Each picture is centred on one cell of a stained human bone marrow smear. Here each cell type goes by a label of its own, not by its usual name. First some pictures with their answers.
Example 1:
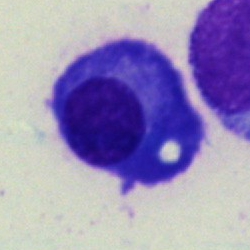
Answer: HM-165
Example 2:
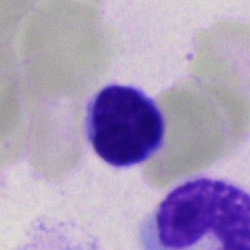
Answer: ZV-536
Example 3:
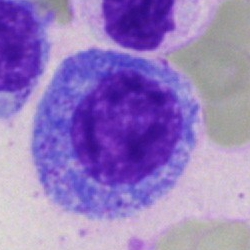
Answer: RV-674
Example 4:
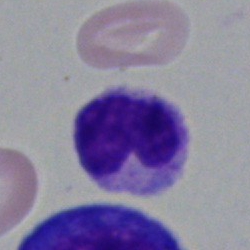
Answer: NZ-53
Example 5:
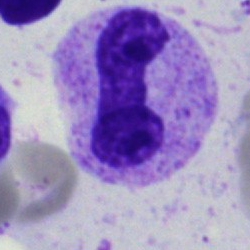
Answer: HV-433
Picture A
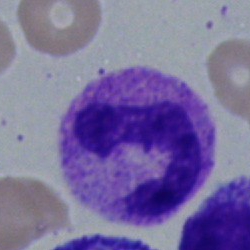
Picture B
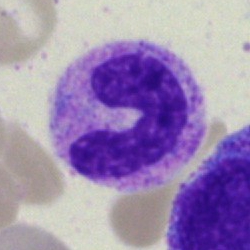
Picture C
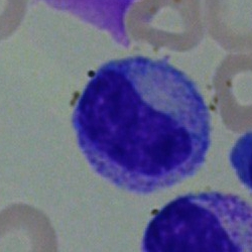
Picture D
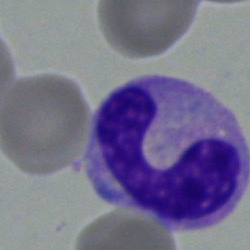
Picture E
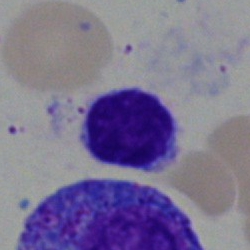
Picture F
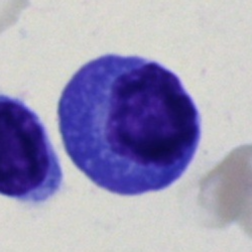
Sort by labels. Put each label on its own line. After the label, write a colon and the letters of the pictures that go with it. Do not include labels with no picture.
HM-165: F
ZV-536: E
NZ-53: C
HV-433: A, B, D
